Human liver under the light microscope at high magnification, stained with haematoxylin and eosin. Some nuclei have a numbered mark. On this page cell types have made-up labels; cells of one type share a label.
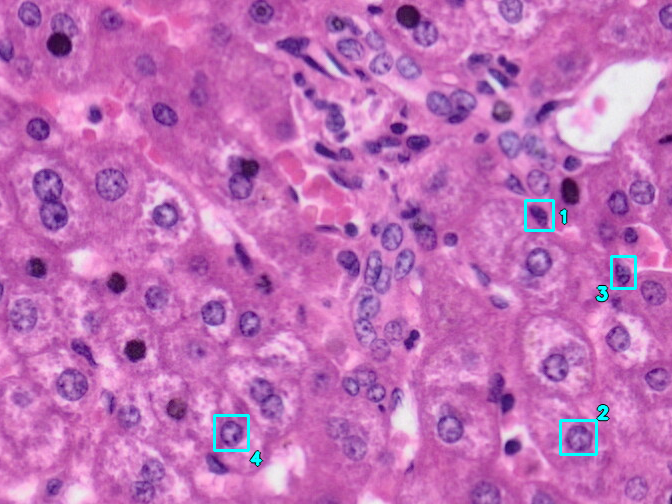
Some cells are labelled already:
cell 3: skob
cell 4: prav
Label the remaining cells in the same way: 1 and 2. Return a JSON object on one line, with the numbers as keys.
{"1": "skob", "2": "prav"}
